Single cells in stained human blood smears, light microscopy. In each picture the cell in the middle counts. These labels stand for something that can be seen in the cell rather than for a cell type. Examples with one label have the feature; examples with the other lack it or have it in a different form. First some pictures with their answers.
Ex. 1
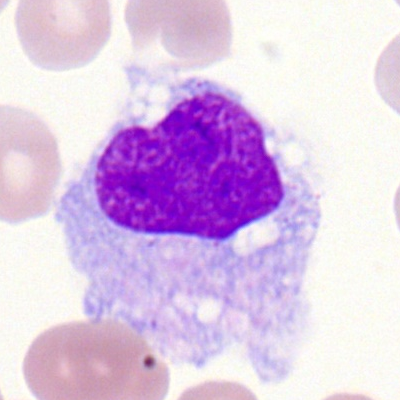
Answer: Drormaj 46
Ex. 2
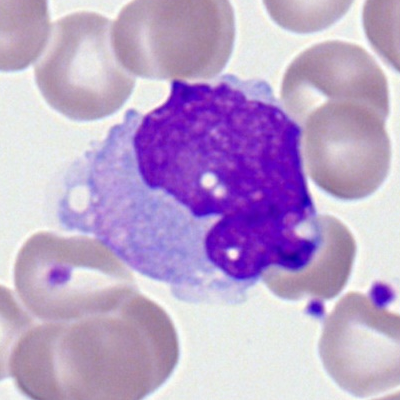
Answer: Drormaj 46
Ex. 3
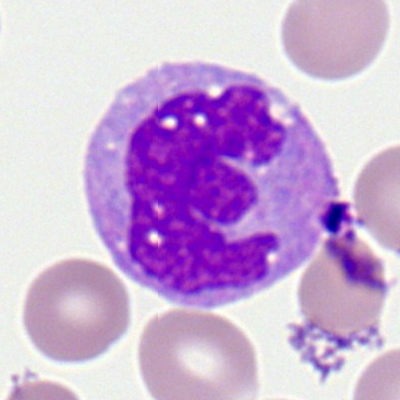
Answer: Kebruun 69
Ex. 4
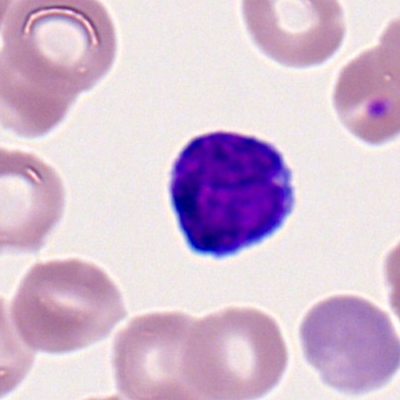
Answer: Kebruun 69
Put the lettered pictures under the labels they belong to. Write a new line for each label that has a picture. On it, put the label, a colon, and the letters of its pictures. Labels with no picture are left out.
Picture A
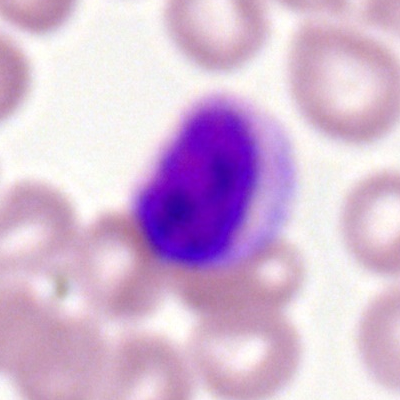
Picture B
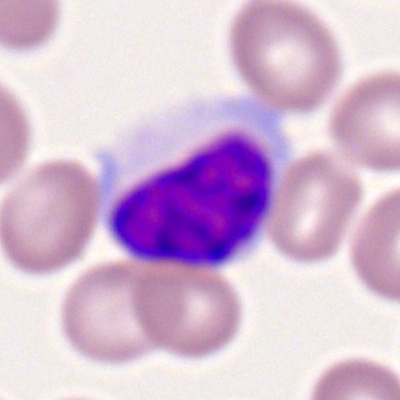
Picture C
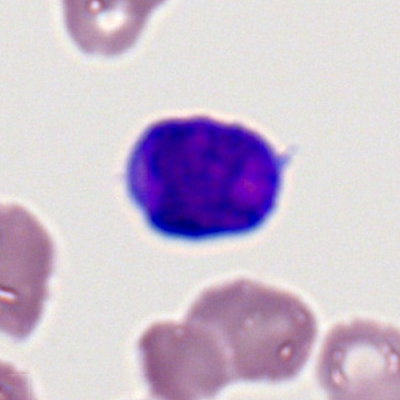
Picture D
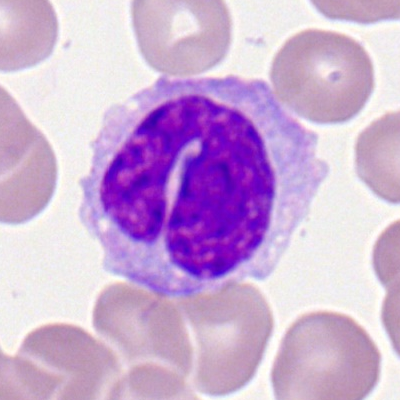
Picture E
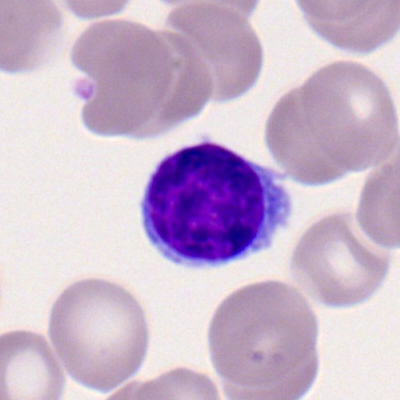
Drormaj 46: C, D, E
Kebruun 69: A, B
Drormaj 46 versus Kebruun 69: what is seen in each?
Drormaj 46: ragged outline or projections; Kebruun 69: smooth outline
